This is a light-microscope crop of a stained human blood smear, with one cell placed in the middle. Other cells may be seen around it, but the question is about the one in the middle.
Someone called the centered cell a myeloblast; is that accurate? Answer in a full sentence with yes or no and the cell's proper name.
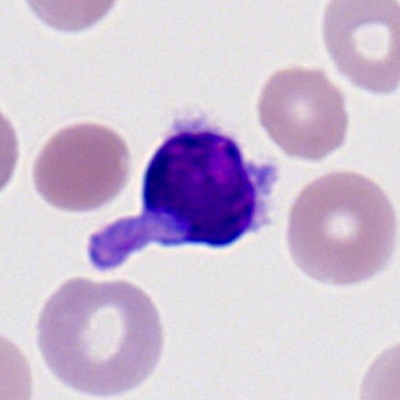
No, the central cell qualifies as a lymphocyte rather than as a myeloblast.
